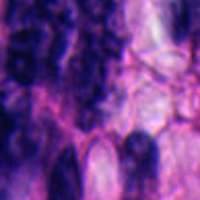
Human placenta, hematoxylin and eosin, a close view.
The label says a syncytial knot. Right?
Right.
